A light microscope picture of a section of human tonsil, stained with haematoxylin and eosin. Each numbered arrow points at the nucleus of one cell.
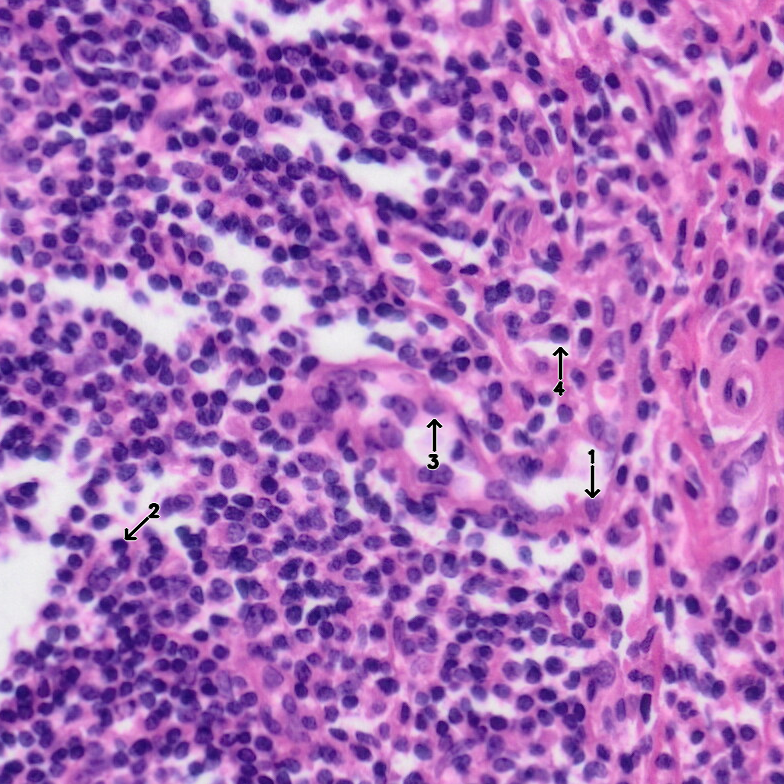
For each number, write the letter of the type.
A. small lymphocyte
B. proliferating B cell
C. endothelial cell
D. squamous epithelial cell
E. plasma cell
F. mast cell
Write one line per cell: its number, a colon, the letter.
1: C
2: A
3: C
4: E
